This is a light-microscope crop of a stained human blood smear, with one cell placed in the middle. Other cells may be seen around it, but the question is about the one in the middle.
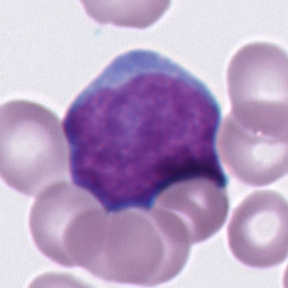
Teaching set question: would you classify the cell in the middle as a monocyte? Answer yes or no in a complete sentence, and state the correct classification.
No, the central cell is properly termed a myeloblast, not a monocyte.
